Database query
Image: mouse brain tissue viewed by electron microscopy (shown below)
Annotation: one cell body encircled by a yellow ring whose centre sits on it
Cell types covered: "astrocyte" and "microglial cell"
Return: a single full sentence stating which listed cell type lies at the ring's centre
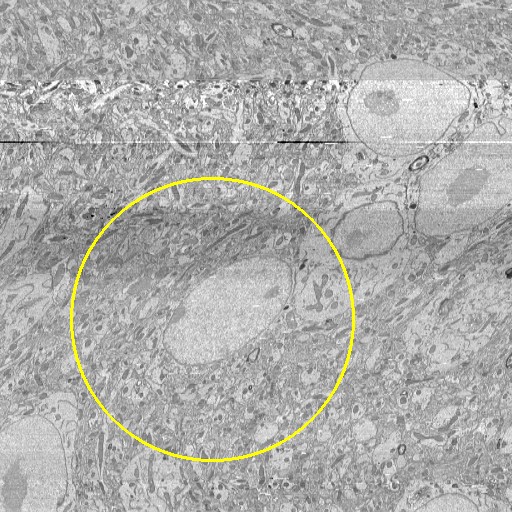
In the image, the cell lying at the ring's centre is an astrocyte.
